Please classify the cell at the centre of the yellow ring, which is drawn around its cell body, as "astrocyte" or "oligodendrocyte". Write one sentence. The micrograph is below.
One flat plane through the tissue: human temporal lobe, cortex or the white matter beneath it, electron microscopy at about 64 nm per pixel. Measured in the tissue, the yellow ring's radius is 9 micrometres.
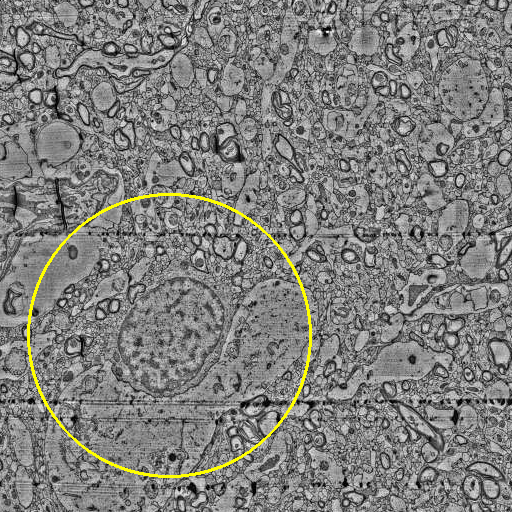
The cell at the ring's centre is classified as an oligodendrocyte.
